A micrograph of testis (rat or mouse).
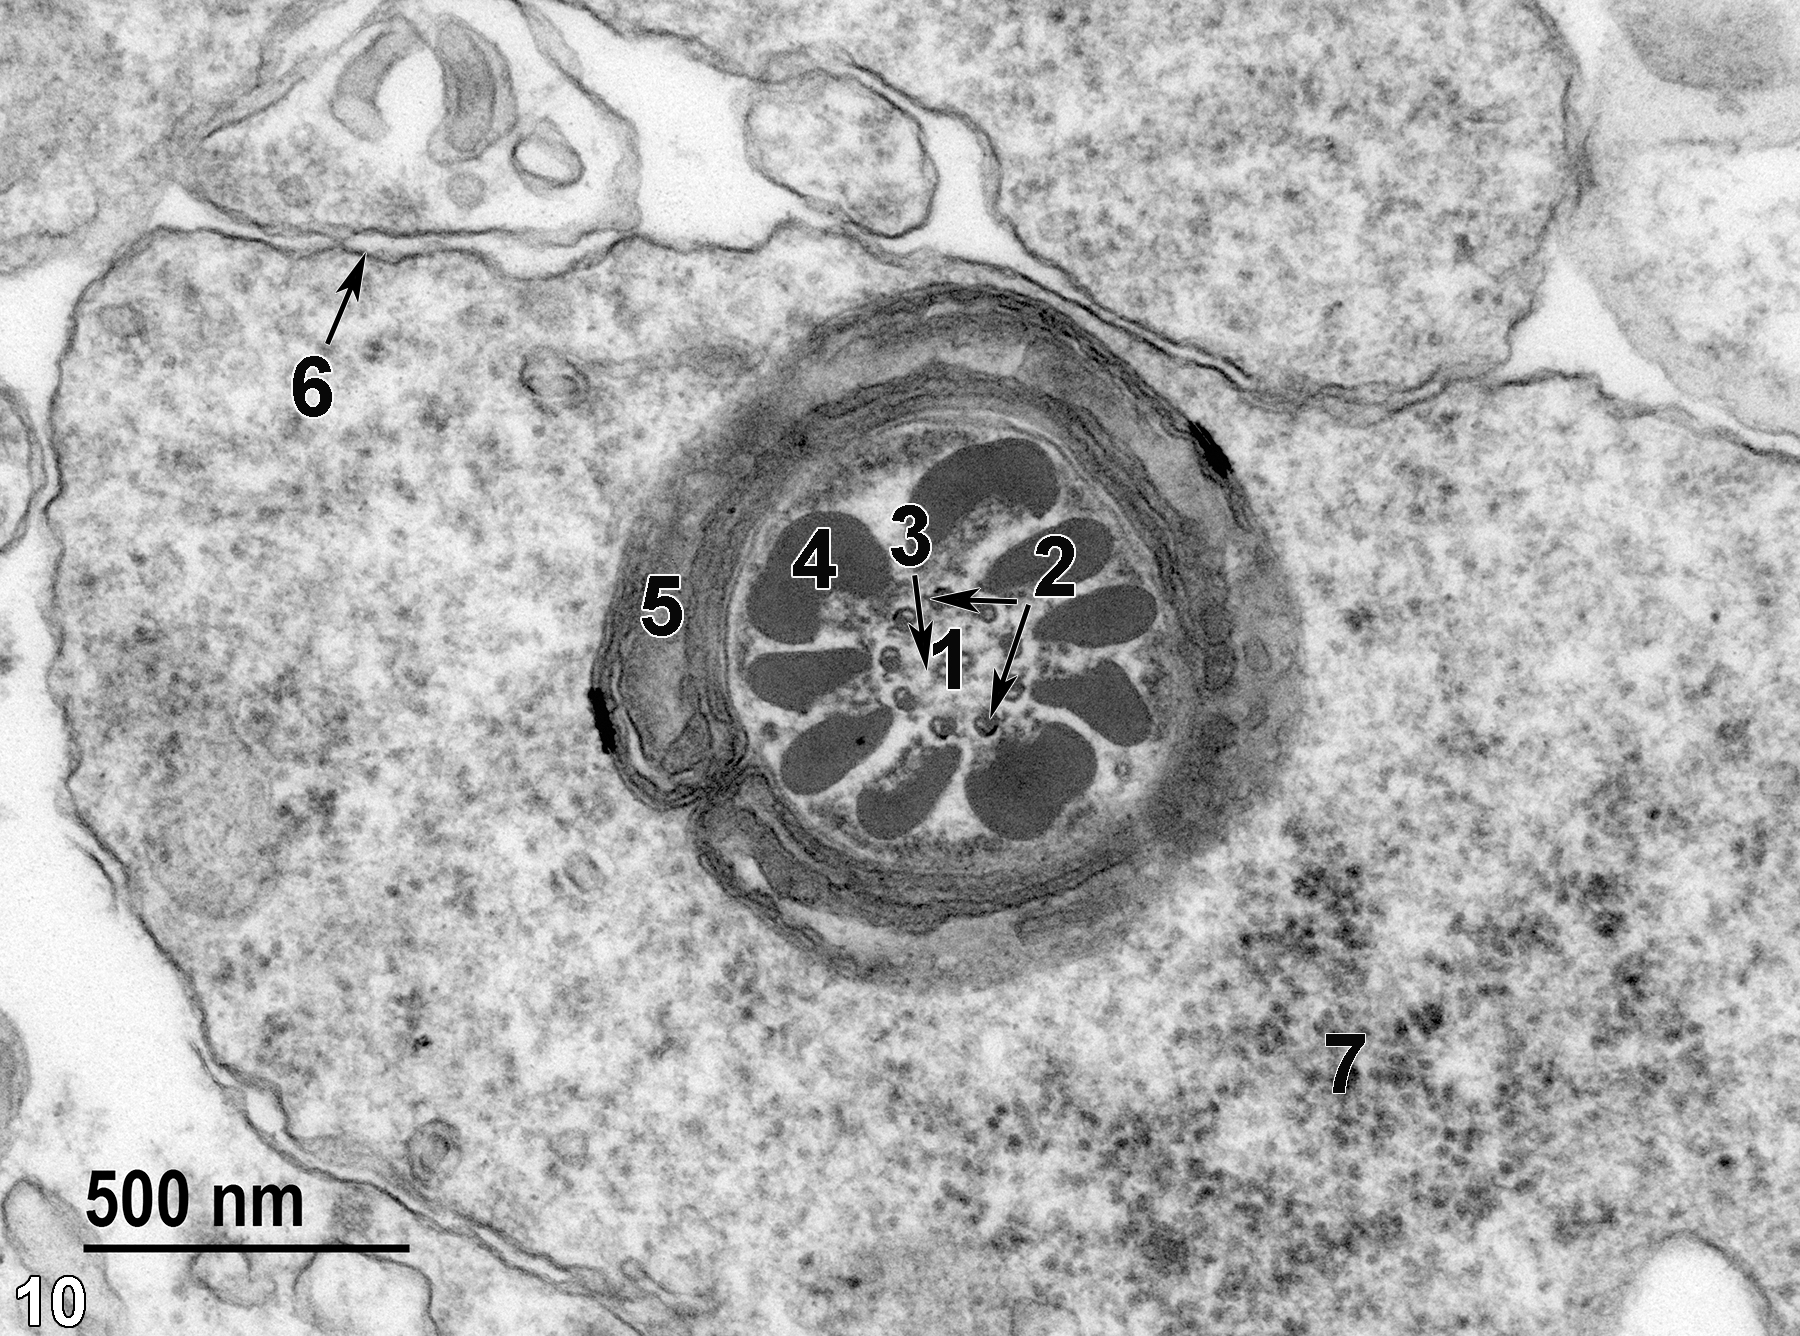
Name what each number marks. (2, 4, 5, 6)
2 - doublet microtubules
4 - outer dense fibrils
5 - sheath of mitochondria
6 - plasma membrane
